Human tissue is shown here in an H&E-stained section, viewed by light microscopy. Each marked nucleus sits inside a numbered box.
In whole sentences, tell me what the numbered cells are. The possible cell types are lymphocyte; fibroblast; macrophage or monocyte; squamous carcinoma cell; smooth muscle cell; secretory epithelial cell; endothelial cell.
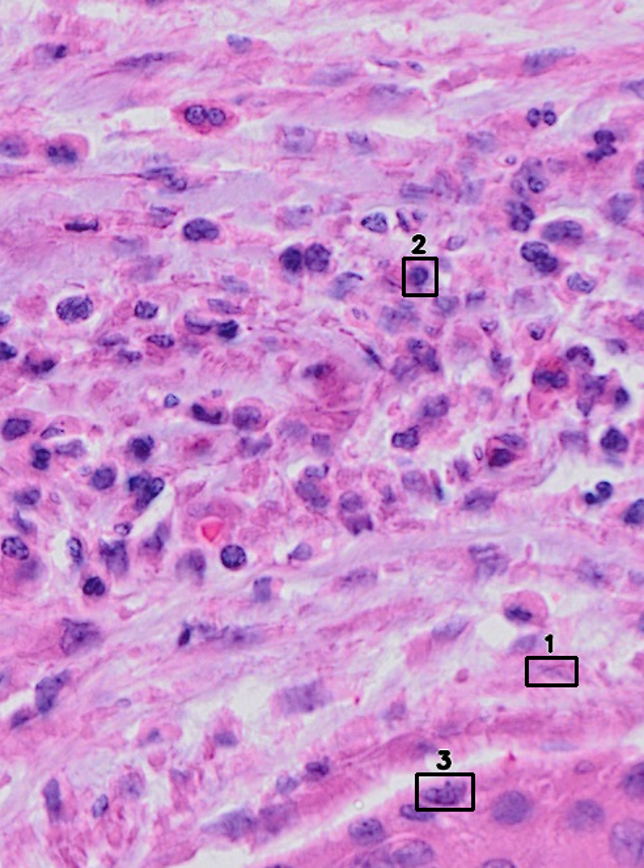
Cell 1 is a fibroblast. Cell 2 is a lymphocyte. Cell 3 is a squamous carcinoma cell.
